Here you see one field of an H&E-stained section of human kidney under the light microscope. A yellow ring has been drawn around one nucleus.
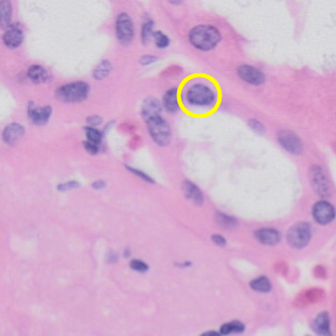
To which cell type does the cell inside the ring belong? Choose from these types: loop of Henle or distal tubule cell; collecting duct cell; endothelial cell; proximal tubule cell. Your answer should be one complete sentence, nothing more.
With respect to cell type, the cell inside the ring is a collecting duct cell.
